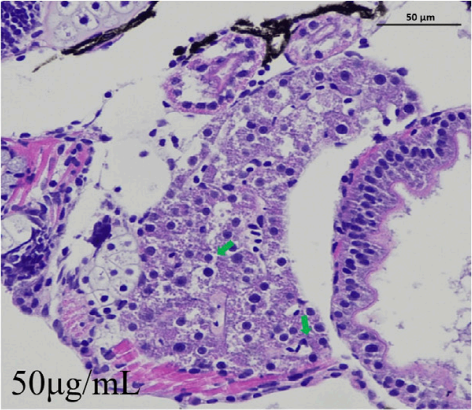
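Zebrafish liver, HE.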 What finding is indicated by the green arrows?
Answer: Hepatocyte vacuolation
